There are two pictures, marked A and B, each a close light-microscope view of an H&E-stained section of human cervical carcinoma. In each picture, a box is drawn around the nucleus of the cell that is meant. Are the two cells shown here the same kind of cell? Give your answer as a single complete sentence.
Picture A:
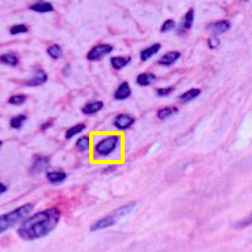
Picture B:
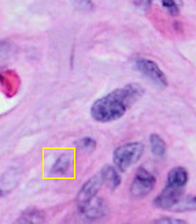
Yes, the two pictures both show smooth muscle cells.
